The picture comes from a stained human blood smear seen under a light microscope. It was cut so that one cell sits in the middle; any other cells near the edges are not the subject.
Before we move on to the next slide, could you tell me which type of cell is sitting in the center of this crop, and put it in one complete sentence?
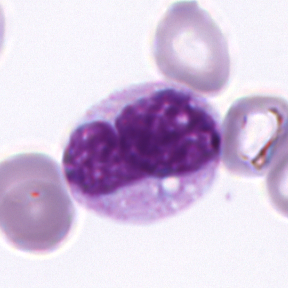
The center cell of this crop is a band neutrophil.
